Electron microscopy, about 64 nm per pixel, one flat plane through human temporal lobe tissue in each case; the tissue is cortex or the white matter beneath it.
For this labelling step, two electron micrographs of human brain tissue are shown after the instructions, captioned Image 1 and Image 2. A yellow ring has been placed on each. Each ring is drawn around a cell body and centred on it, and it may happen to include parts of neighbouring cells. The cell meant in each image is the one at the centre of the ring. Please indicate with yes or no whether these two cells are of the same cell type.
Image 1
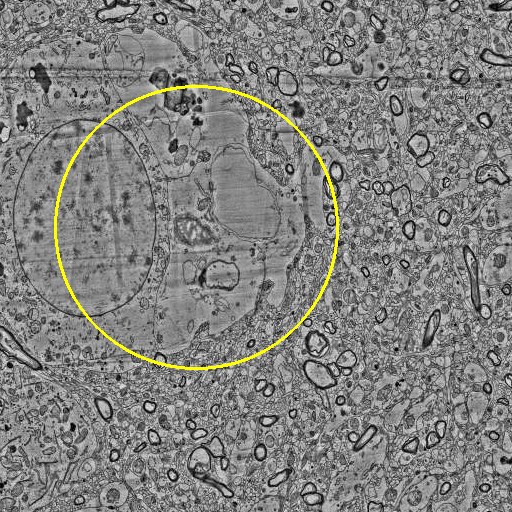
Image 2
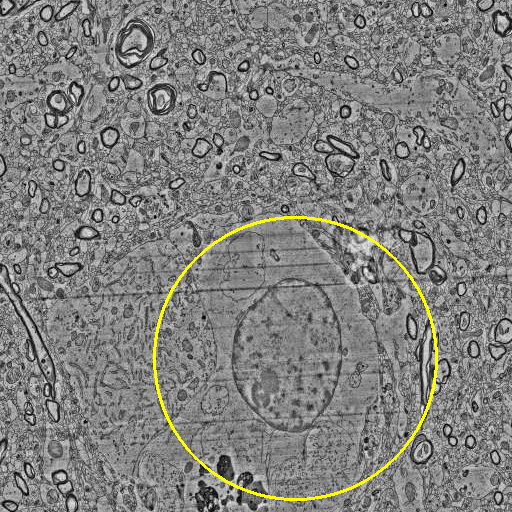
yes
